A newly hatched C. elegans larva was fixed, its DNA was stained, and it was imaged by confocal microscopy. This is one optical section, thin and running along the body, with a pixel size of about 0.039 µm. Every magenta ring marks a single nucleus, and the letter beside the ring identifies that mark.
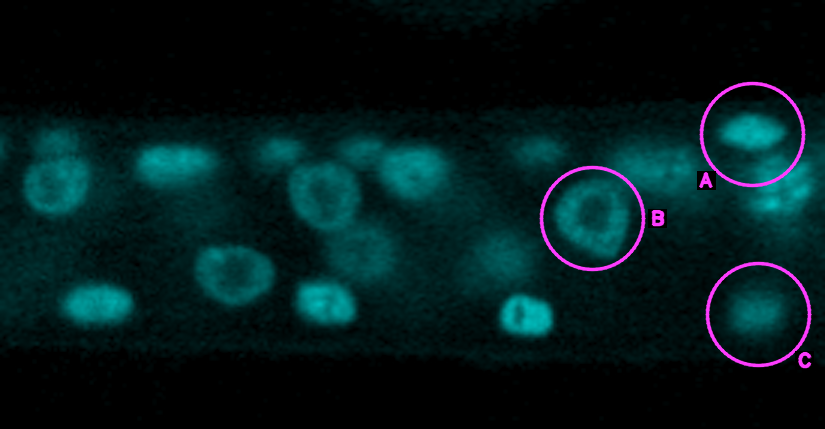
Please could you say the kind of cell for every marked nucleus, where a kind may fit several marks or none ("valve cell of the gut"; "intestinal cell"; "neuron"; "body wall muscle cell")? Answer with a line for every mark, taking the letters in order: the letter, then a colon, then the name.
A: neuron
B: intestinal cell
C: body wall muscle cell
